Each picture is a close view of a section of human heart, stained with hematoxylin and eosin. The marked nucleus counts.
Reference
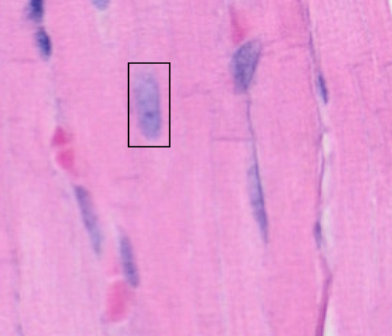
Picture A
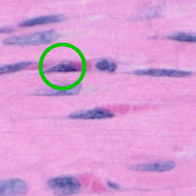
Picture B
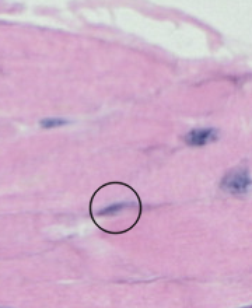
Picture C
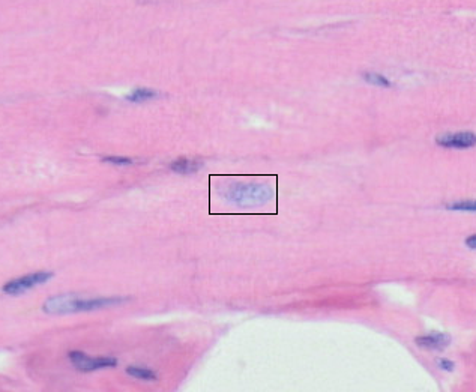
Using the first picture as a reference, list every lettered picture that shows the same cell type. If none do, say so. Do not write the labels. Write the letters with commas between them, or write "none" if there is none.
C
